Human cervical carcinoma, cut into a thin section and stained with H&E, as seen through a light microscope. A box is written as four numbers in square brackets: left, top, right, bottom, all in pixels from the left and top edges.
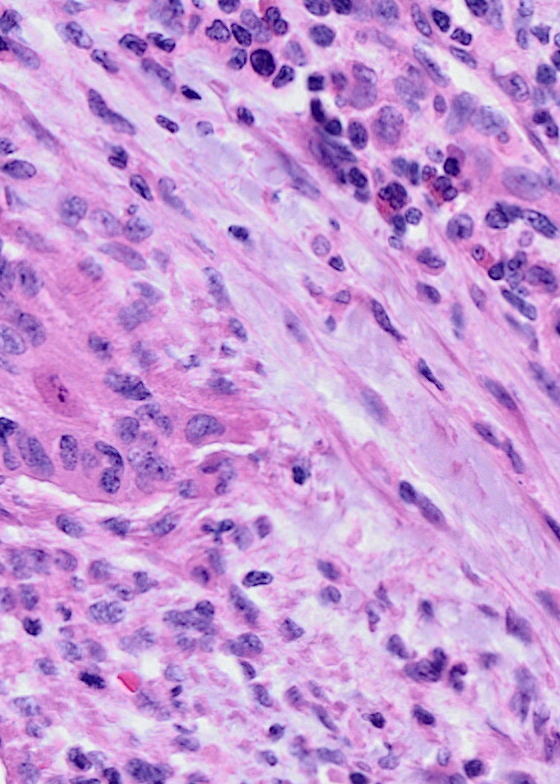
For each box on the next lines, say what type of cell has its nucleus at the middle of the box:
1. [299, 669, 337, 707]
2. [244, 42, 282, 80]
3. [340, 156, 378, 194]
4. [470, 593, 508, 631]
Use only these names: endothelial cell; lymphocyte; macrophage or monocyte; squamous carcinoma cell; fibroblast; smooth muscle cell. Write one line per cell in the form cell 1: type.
cell 1: fibroblast
cell 2: lymphocyte
cell 3: lymphocyte
cell 4: fibroblast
